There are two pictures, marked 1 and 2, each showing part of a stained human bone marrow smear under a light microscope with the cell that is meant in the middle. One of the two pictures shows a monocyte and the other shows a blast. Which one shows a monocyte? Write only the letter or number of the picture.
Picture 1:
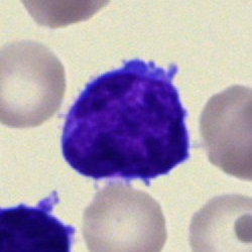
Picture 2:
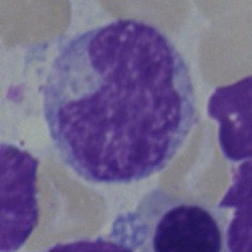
2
